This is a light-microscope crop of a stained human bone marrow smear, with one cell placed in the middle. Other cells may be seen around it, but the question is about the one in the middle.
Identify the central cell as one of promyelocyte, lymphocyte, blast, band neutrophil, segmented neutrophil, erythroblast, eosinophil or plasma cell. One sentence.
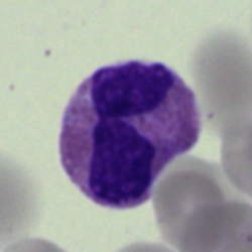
At the crop's centre, the cell is an eosinophil.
